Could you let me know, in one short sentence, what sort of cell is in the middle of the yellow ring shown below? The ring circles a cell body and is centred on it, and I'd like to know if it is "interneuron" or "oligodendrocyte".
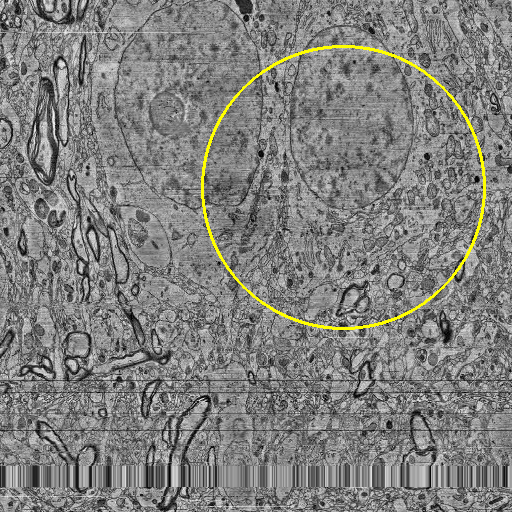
The ring circles the cell body of an interneuron.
